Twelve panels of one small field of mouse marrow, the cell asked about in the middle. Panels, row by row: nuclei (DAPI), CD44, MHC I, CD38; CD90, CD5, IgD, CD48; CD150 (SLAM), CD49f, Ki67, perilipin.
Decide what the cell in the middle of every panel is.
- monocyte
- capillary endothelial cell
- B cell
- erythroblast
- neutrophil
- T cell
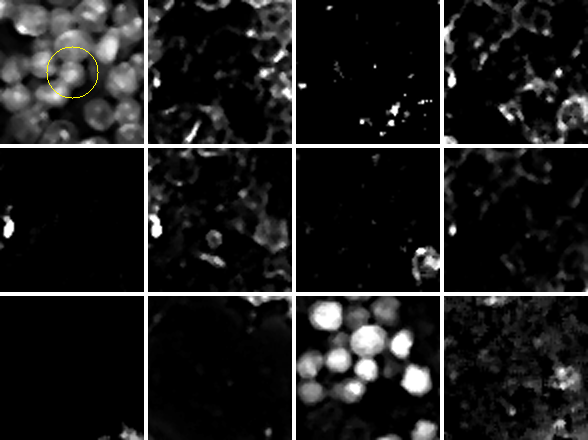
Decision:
erythroblast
